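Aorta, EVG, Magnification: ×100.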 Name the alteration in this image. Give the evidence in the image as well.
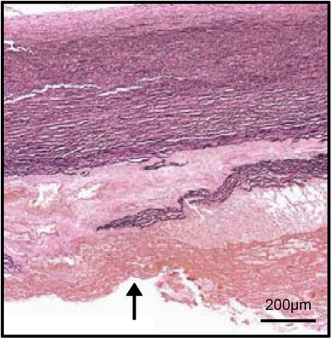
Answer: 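Loss of smooth muscle cells and elastic fibers. The lower part of the wall is pale pink to orange with few dark fibers.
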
